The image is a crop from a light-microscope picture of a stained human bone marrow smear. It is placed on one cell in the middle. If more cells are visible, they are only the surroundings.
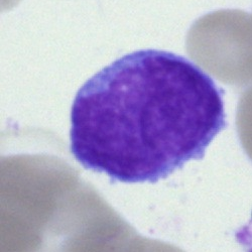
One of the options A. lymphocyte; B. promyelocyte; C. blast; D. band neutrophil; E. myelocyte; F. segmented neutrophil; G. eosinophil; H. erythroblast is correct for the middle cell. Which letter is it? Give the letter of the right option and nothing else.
C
